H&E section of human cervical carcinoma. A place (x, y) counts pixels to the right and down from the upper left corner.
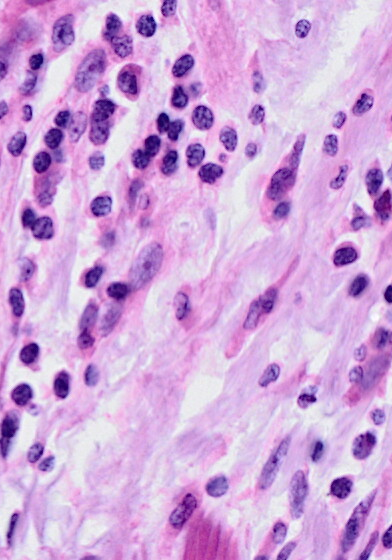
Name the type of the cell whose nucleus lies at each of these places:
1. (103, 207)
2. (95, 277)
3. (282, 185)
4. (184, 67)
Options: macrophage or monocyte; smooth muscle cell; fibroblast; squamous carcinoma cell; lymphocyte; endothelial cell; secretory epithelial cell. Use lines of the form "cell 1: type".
cell 1: lymphocyte
cell 2: lymphocyte
cell 3: macrophage or monocyte
cell 4: lymphocyte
